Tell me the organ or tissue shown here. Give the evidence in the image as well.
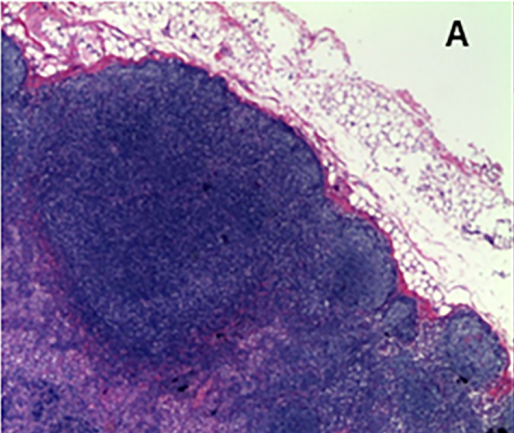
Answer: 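Lymph node. A large, densely packed dark blue mass of small cells. A thin pink capsule bounds the dense tissue. Pale fat cells lie outside the capsule.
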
